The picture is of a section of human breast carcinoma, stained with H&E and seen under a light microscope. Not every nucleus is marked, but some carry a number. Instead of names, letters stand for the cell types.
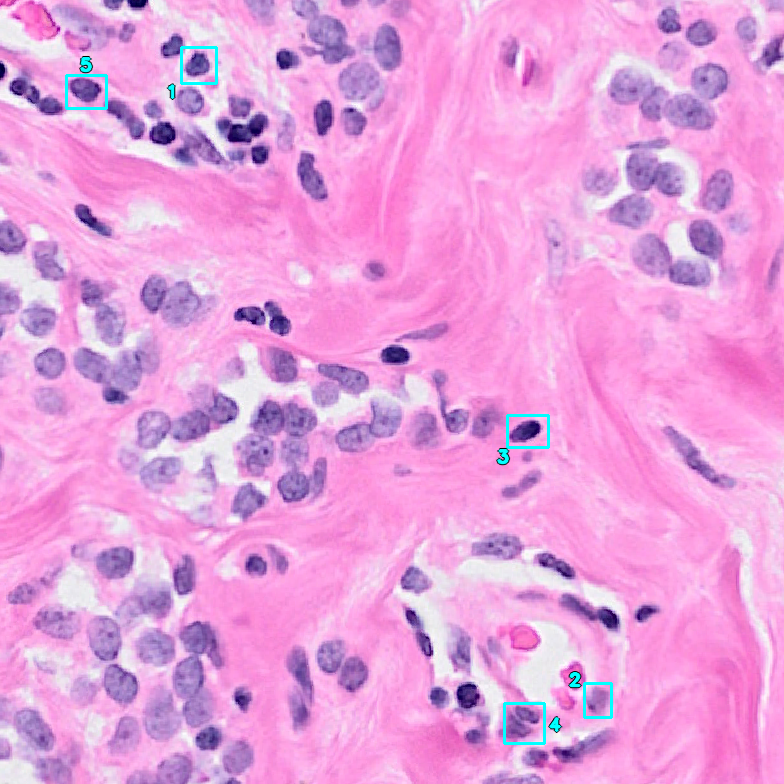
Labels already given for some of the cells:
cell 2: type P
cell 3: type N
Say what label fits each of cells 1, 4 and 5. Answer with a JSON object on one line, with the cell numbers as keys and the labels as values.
{"1": "type N", "4": "type P", "5": "type N"}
